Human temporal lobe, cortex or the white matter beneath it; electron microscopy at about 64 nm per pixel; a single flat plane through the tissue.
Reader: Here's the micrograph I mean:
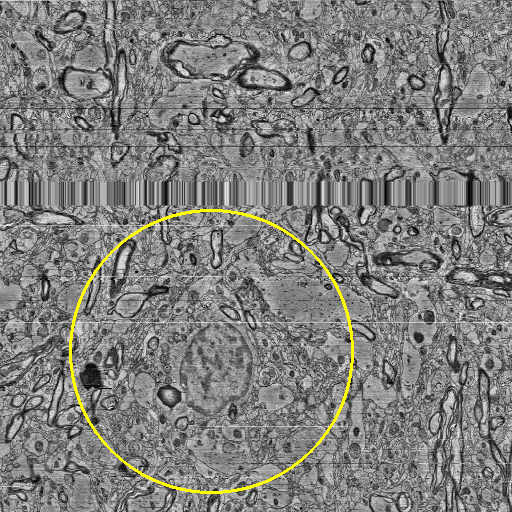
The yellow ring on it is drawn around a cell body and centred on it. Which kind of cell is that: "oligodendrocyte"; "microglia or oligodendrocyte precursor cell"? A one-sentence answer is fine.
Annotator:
The ring is centred on an oligodendrocyte.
